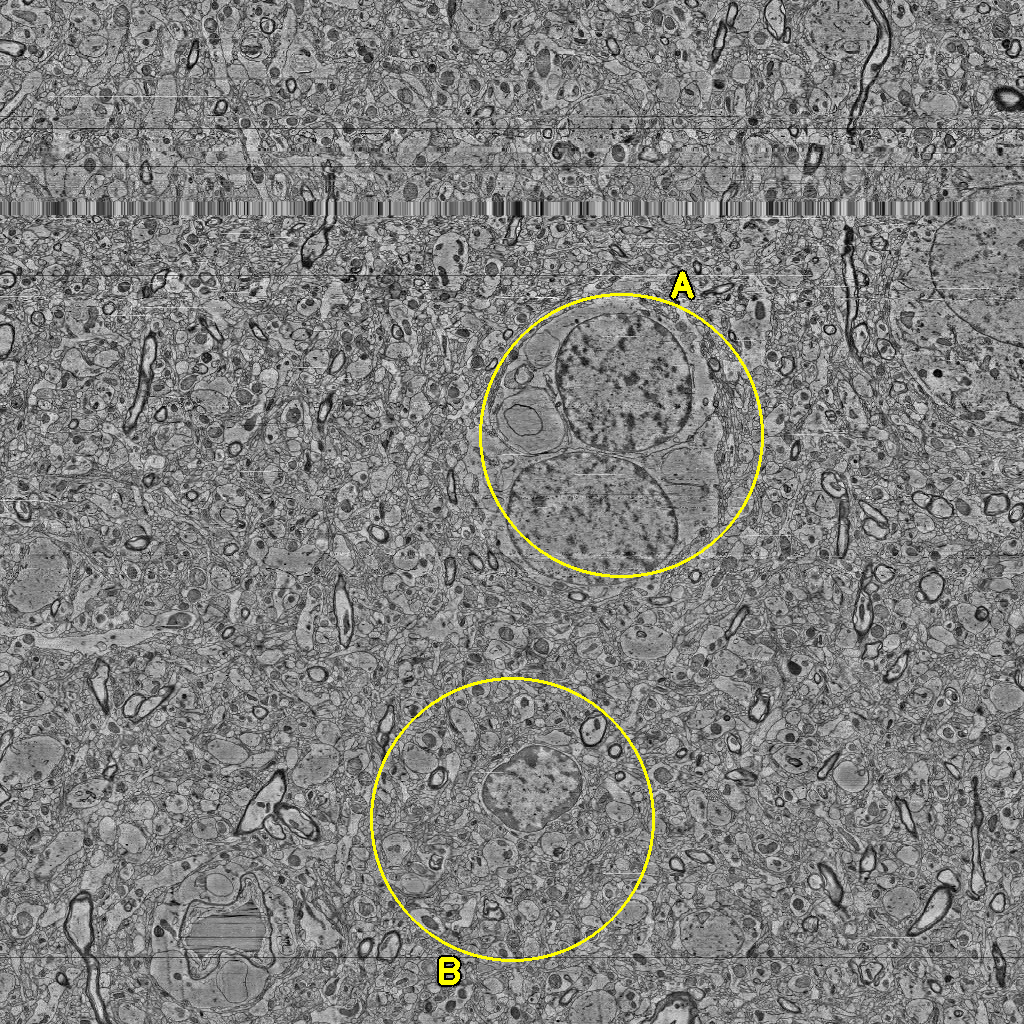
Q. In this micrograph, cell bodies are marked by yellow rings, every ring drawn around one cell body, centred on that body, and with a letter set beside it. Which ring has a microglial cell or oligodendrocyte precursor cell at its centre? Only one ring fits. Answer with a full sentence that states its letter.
The ring lettered B surrounds the cell asked for at its centre.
